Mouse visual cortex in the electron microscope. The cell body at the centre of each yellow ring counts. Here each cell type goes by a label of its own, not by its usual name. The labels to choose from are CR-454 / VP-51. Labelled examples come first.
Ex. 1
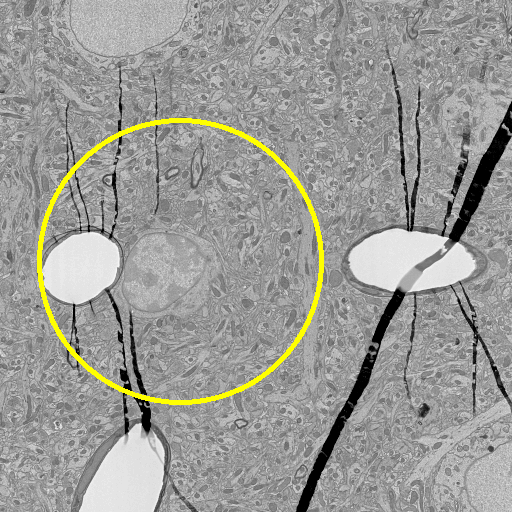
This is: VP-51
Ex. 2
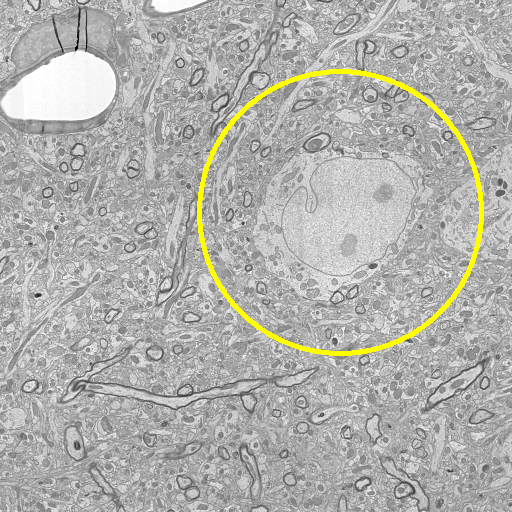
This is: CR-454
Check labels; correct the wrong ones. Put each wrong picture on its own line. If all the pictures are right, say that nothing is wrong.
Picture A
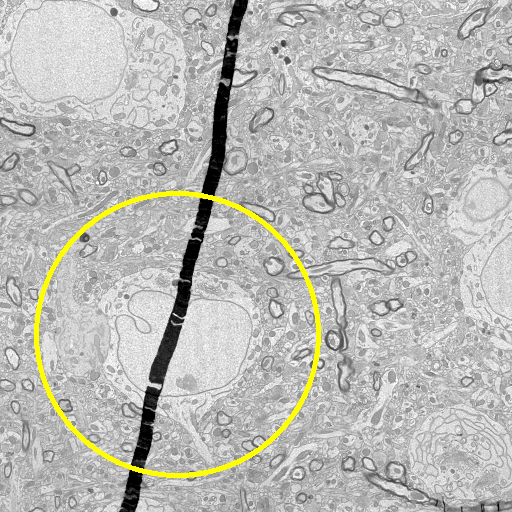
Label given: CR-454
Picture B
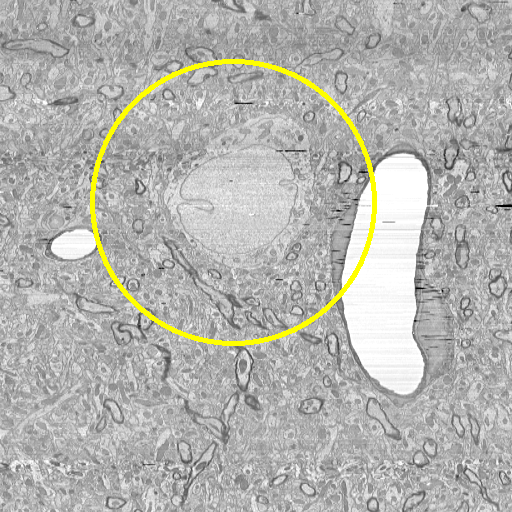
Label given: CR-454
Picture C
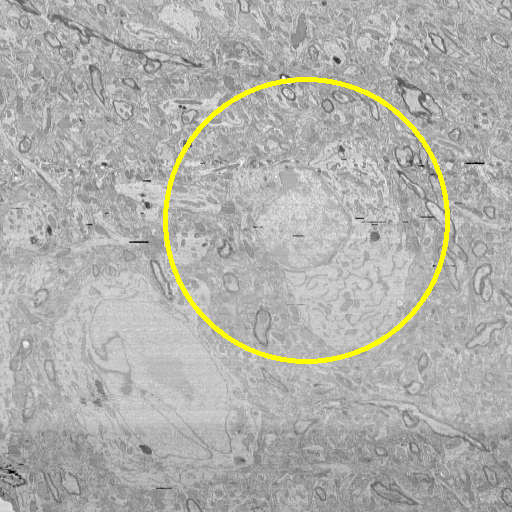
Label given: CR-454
C should be VP-51, not CR-454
